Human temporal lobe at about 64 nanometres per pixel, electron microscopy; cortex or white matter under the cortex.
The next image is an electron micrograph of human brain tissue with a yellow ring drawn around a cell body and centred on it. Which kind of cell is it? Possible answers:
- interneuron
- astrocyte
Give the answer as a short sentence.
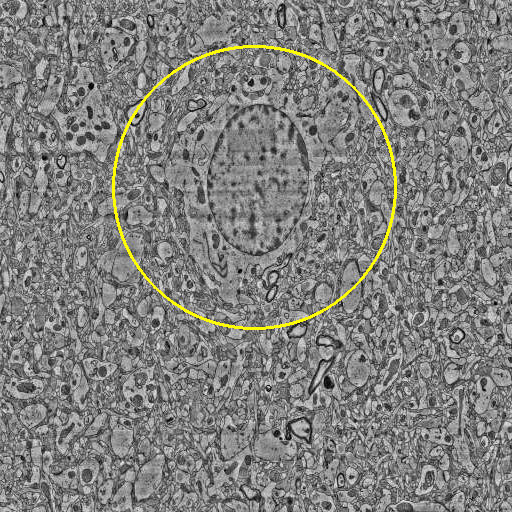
In the ring's centre is an astrocyte.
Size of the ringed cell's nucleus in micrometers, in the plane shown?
The nucleus is approximately 10 micrometers long by 6 micrometers wide in this plane.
